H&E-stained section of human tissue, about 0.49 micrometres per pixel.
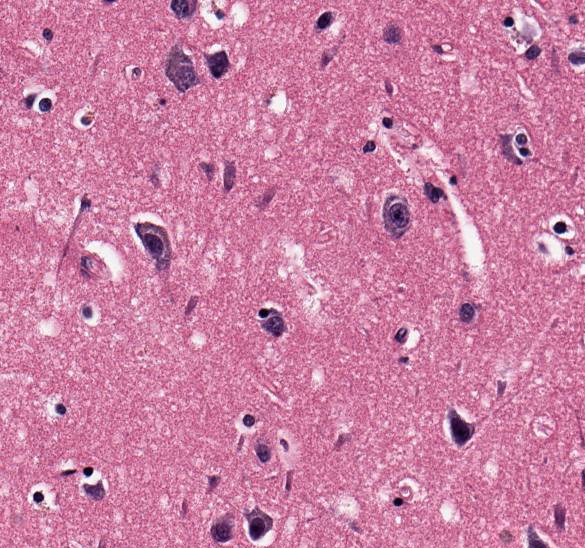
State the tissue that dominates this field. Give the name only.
cerebral cortex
